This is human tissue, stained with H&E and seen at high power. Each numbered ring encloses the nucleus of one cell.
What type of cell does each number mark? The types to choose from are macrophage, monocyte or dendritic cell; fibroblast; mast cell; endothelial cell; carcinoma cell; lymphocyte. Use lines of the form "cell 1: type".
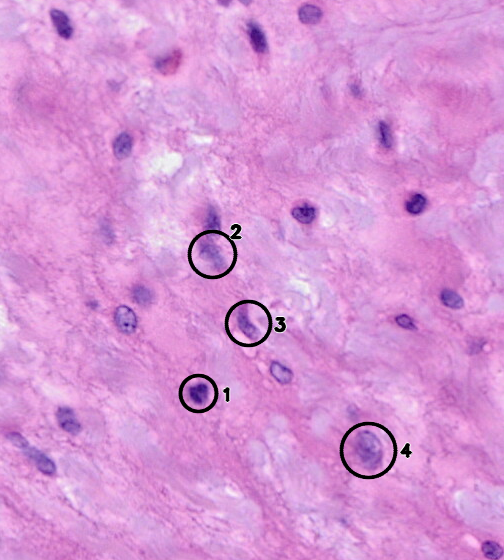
cell 1: lymphocyte
cell 2: fibroblast
cell 3: fibroblast
cell 4: fibroblast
